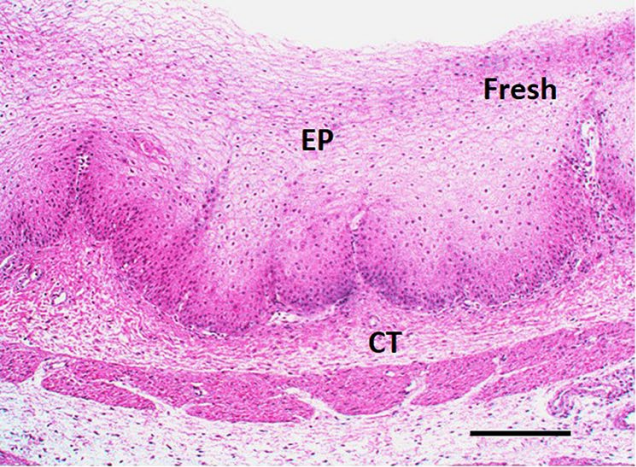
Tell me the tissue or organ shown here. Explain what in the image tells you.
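A thick stratified epithelium lines the surface. The epithelium sends rounded downgrowths into the underlying tissue. A layer of pink fibrous connective tissue lies beneath the epithelium, with muscle bundles deeper. So: mucosa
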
